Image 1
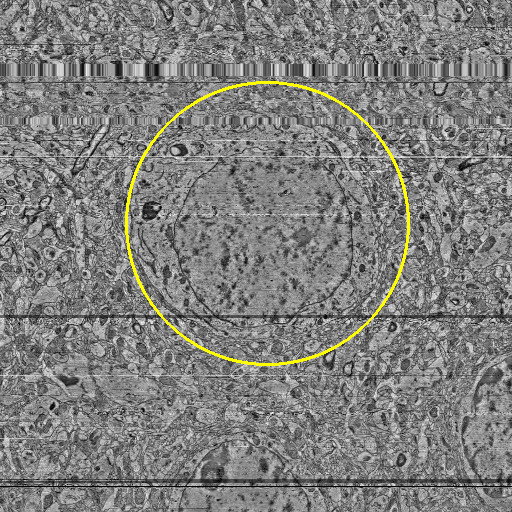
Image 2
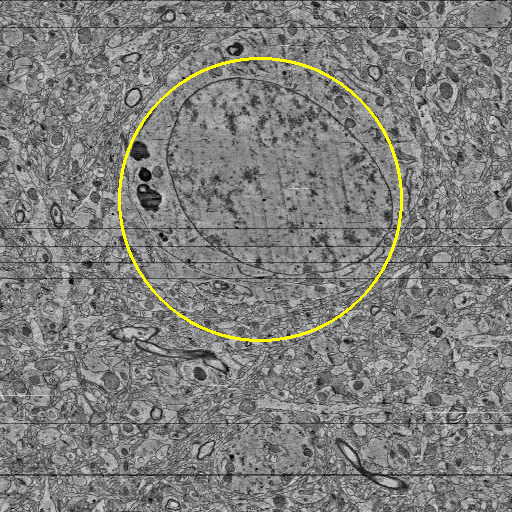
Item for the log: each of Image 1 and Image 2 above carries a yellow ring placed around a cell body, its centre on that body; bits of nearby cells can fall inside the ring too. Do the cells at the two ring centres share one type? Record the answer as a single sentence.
Yes, the two cells at the ring centres in Image 1 and Image 2 share one type.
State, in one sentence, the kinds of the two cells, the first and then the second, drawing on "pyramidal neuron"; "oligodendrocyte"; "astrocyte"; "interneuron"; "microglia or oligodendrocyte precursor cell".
Both rings mark a pyramidal neuron, one in each picture.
